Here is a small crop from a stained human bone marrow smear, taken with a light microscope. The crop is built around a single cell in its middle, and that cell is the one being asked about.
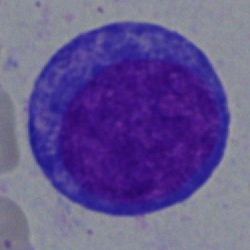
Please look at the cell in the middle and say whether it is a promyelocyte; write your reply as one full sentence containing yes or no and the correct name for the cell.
No, the centre cell is not a promyelocyte but a proerythroblast.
